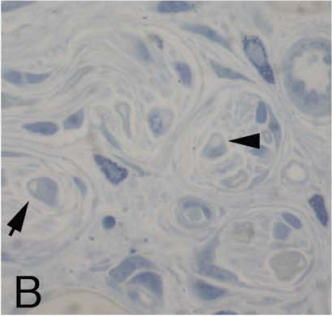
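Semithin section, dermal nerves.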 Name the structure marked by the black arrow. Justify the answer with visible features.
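Onion bulb formations. The marked fiber is surrounded by concentric thin pale lamellae. Layered rings of cell processes encircle a central profile.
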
